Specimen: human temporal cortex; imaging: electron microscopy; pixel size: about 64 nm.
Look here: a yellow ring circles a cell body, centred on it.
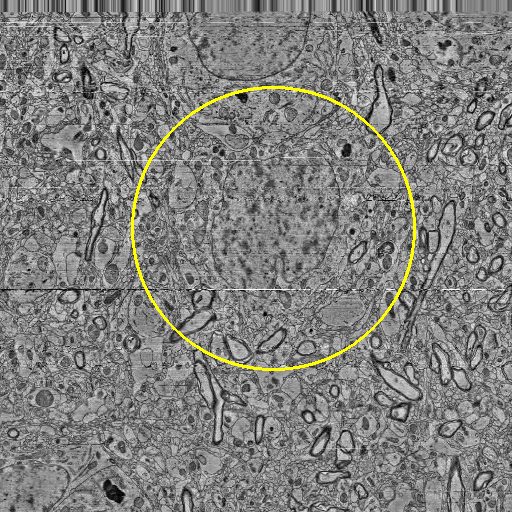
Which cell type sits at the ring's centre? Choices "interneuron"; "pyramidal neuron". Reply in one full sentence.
The cell at the centre of the yellow ring in the picture is an interneuron.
